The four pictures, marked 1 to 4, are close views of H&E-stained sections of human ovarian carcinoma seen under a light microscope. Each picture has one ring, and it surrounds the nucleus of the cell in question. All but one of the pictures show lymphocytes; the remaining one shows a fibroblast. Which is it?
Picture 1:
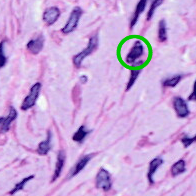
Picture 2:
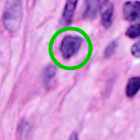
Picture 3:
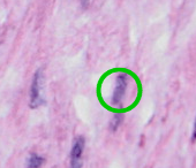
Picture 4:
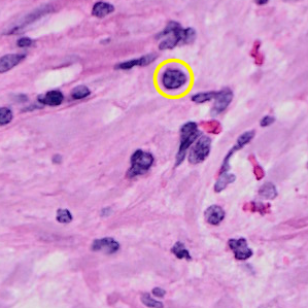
3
